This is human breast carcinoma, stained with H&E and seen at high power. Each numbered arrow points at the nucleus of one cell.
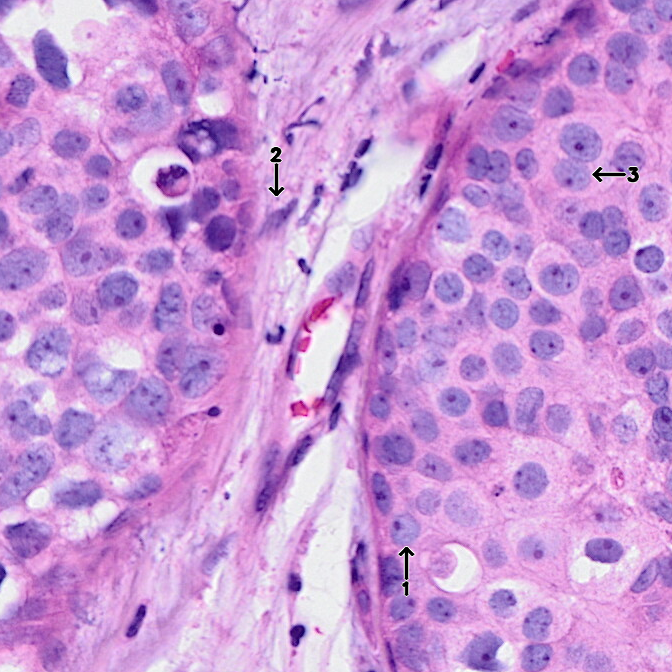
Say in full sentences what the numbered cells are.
Cells 1 and 3 are carcinoma cells. Cell 2 is a fibroblast.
